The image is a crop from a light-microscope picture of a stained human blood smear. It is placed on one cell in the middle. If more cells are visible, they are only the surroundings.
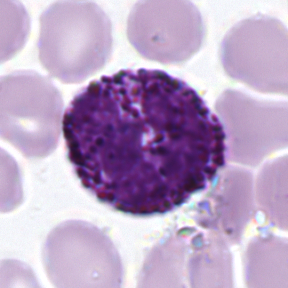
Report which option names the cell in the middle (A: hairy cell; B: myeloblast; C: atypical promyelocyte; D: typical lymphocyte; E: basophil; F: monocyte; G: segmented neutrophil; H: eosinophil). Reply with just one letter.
E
